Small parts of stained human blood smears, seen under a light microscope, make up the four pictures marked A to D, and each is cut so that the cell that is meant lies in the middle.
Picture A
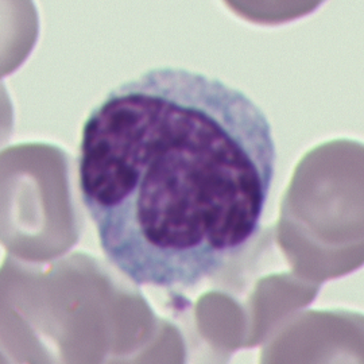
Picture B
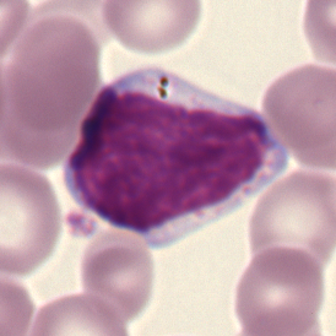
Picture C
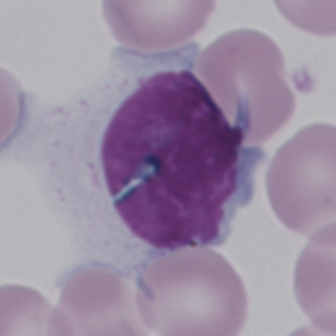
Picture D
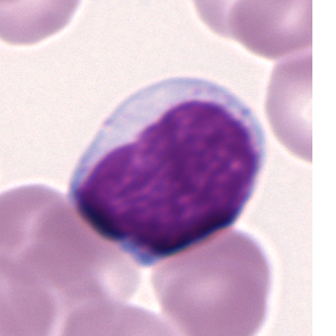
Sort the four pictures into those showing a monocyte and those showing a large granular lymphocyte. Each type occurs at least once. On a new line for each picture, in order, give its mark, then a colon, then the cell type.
A: monocyte
B: large granular lymphocyte
C: large granular lymphocyte
D: large granular lymphocyte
